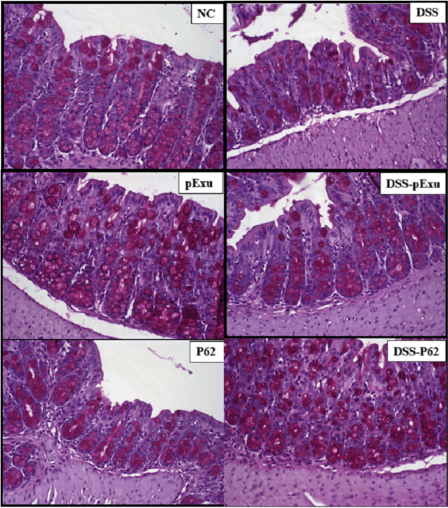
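Colonic mucosa with straight tubular crypts lined by epithelium that holds many goblet cells, their mucin filling rounded cytoplasmic cups that stain magenta. Small dark purple nuclei of the epithelial cells lie between and beneath the magenta goblet cells. Thin strands of lamina propria separate neighbouring crypts. Below the mucosa lies a band of paler, pink to lilac smooth muscle with elongated nuclei.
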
